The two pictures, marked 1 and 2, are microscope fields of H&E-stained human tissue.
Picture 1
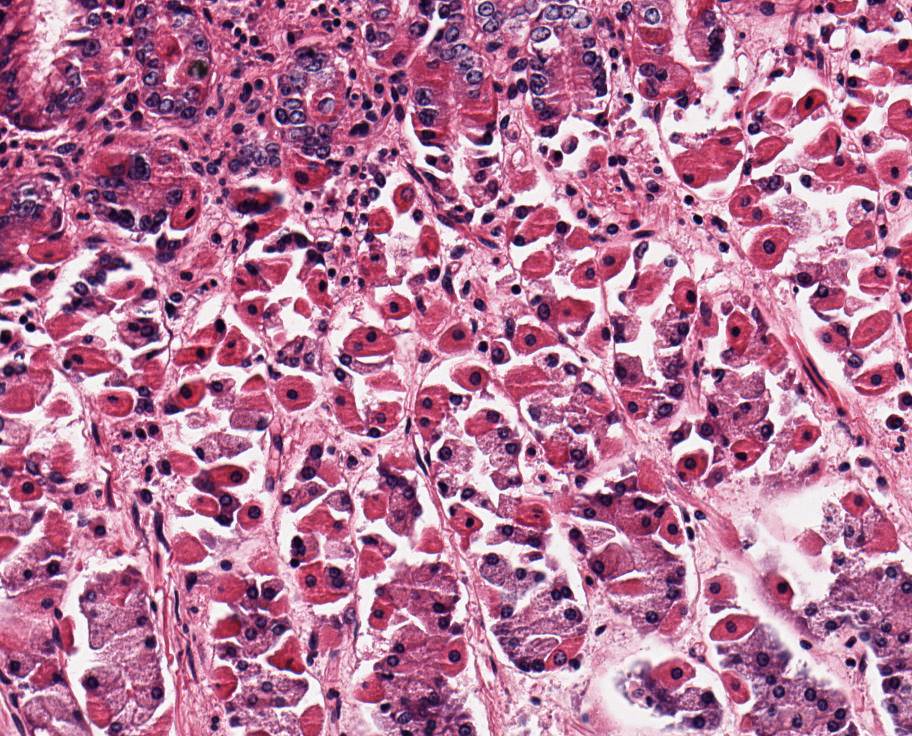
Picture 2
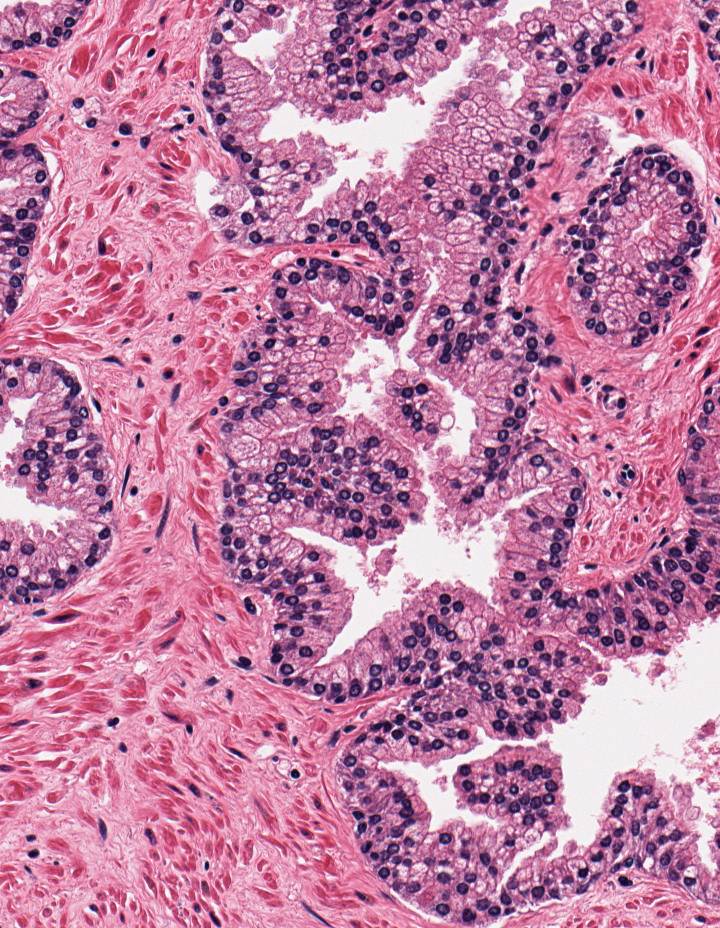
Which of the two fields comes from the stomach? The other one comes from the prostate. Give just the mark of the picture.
1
